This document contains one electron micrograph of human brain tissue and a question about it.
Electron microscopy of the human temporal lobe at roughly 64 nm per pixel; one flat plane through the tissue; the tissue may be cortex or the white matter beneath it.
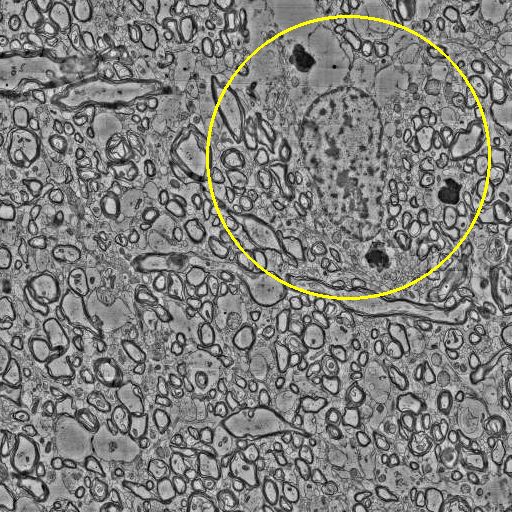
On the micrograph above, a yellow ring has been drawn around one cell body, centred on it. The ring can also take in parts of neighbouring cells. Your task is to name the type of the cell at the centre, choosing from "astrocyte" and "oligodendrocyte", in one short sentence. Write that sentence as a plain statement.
Here the ring is centred on an astrocyte.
